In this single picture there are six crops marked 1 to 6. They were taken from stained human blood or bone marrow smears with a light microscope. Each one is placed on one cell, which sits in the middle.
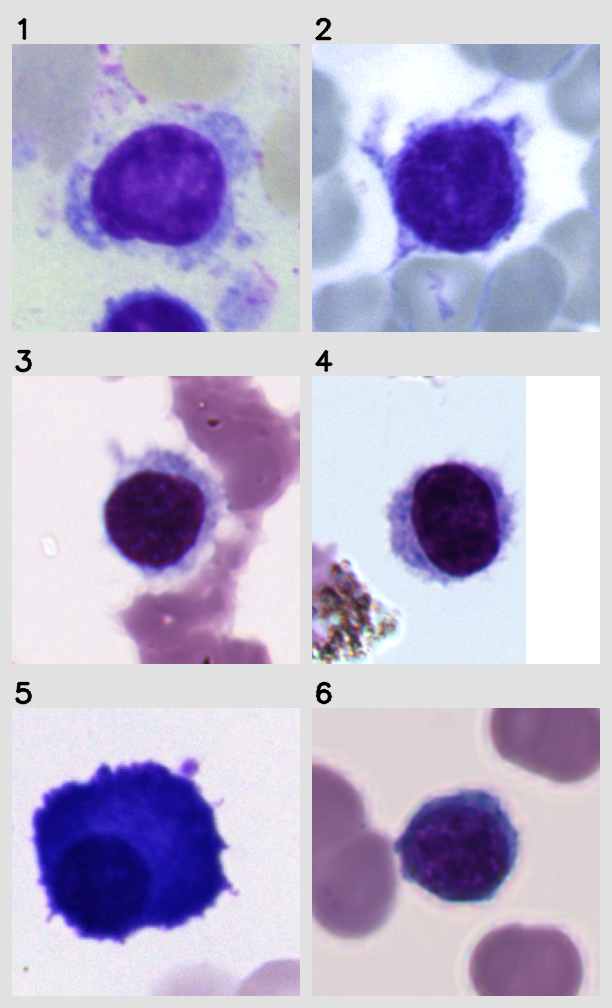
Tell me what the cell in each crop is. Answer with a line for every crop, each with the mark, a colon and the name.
1: hairy cell
2: hairy cell
3: hairy cell
4: hairy cell
5: plasma cell
6: plasma cell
